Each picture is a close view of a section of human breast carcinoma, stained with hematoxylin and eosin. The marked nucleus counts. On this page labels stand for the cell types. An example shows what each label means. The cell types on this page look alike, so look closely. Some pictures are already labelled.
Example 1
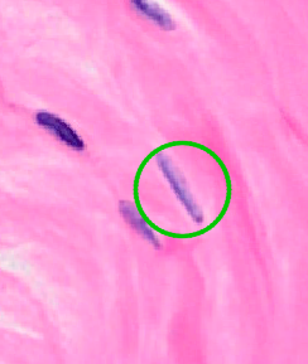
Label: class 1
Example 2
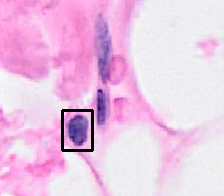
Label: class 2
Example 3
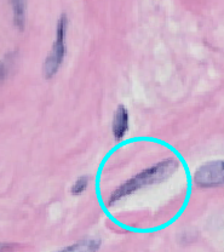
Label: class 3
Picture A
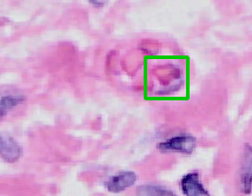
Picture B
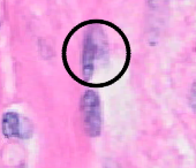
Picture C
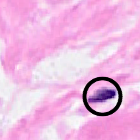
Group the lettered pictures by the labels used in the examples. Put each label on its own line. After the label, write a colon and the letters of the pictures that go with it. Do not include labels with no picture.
class 1: C
class 3: A, B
